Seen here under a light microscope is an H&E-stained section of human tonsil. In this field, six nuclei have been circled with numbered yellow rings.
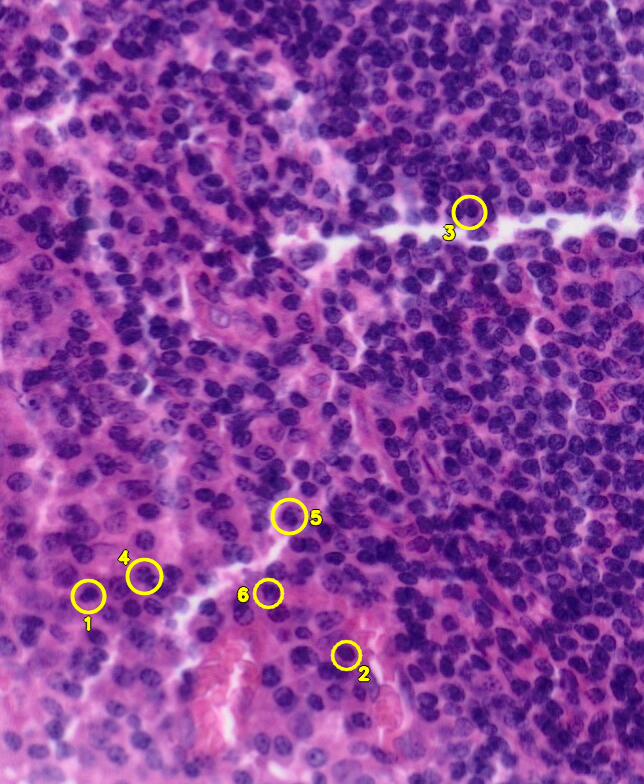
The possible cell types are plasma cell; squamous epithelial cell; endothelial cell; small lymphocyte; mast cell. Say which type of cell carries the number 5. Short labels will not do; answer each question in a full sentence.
Heads up, the cell numbered 5 is a plasma cell.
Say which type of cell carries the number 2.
Cell 2 should be recorded as a plasma cell.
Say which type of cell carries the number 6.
Cell 6 of the marked set is a plasma cell.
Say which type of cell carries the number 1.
In this section, number 1 marks a squamous epithelial cell.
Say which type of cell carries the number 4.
The cell given label 4 is a plasma cell.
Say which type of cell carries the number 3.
Heads up, the cell numbered 3 is a small lymphocyte.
